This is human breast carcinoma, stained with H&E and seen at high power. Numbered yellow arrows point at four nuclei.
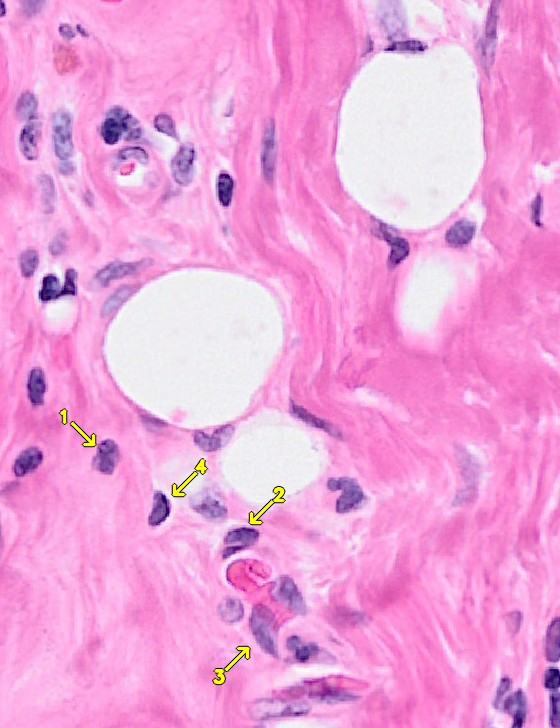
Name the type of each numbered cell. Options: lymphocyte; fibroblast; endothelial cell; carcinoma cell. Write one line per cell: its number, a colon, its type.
1: lymphocyte
2: endothelial cell
3: endothelial cell
4: lymphocyte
